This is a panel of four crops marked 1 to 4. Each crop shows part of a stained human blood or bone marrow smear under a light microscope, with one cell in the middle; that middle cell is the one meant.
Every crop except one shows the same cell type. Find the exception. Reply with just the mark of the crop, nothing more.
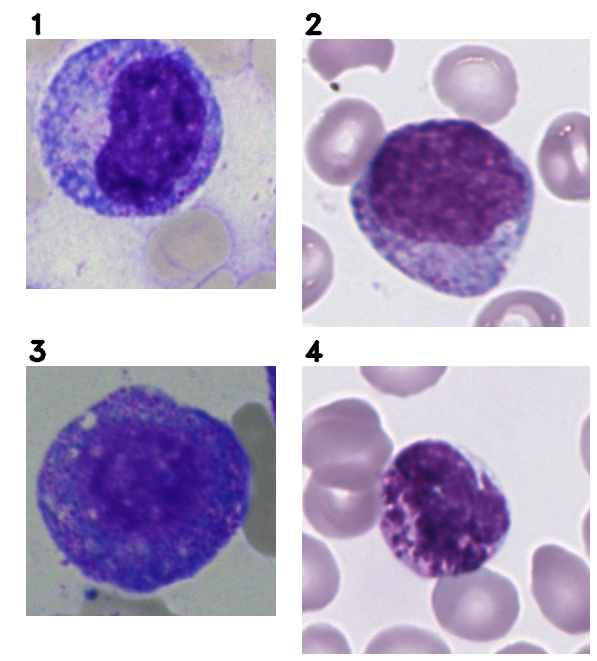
4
